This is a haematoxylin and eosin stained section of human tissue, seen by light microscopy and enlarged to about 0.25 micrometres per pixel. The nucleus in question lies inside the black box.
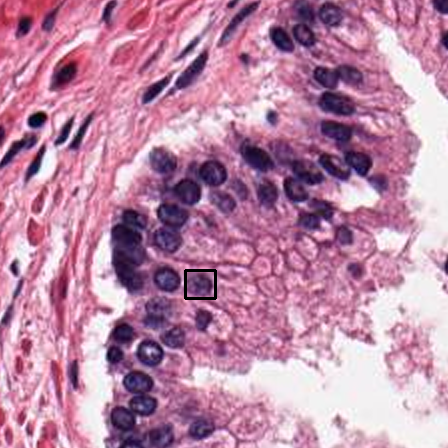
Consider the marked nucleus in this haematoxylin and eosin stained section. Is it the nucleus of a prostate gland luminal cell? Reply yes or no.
yes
